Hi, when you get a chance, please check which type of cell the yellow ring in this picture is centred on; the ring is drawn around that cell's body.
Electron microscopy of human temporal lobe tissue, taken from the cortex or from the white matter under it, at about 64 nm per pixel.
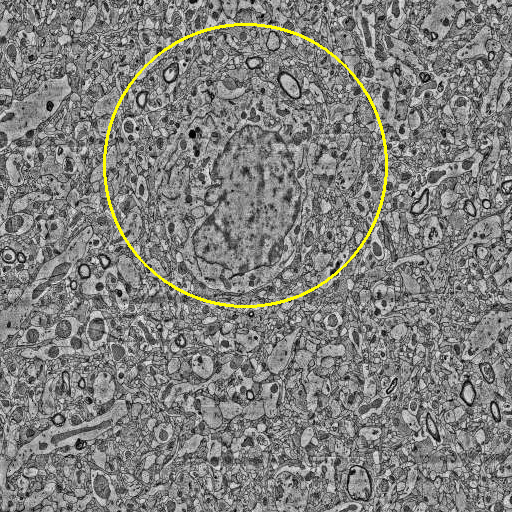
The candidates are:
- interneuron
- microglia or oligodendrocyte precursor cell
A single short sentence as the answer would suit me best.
The ring is drawn around the body of an interneuron.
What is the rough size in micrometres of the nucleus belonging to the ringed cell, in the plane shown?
About 10 by 7 micrometers for the nucleus, in this plane.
